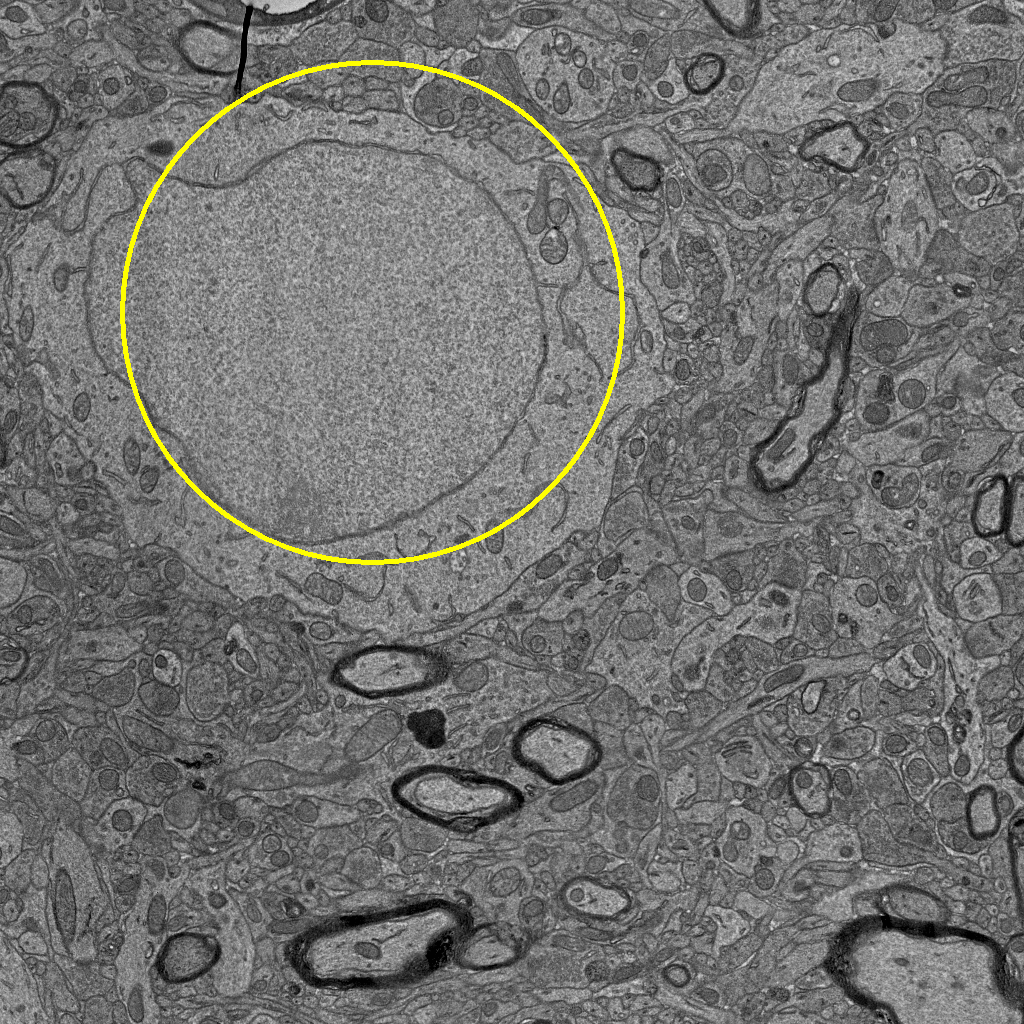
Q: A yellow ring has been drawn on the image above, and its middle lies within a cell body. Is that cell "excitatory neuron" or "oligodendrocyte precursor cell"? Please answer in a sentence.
The ring's middle lies in the cell body of an excitatory neuron.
